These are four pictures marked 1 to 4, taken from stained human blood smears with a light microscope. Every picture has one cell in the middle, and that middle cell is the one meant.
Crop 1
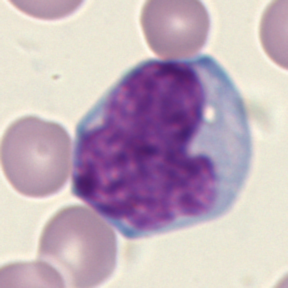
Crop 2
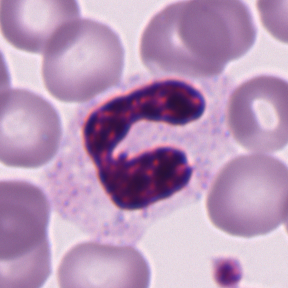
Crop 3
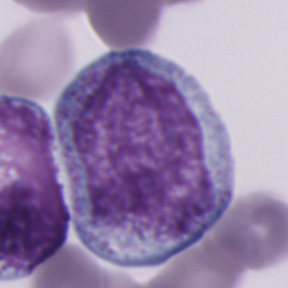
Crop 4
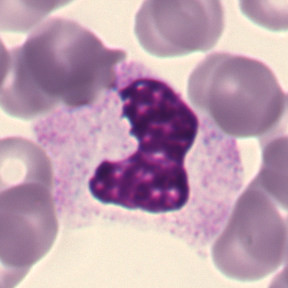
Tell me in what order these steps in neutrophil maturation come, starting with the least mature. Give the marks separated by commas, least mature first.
1, 3, 4, 2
